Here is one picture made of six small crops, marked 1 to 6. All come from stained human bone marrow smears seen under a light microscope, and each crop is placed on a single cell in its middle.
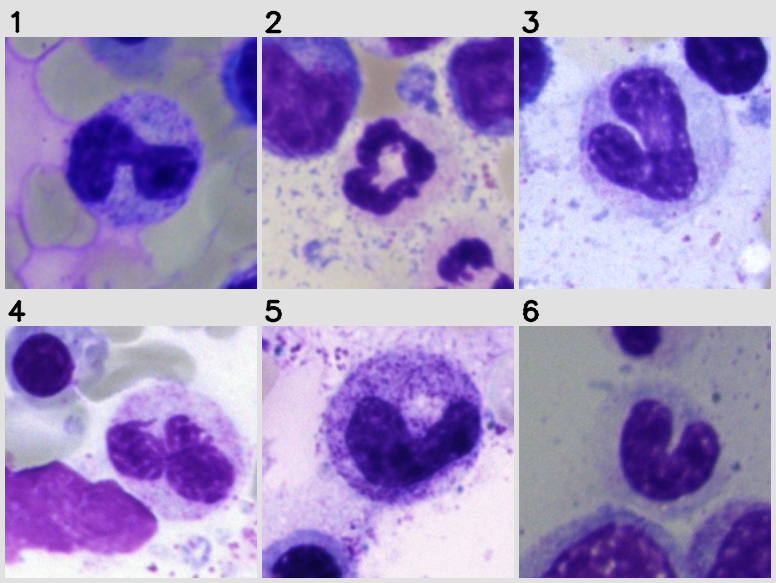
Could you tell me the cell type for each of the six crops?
1: band neutrophil
2: segmented neutrophil
3: band neutrophil
4: segmented neutrophil
5: band neutrophil
6: band neutrophil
